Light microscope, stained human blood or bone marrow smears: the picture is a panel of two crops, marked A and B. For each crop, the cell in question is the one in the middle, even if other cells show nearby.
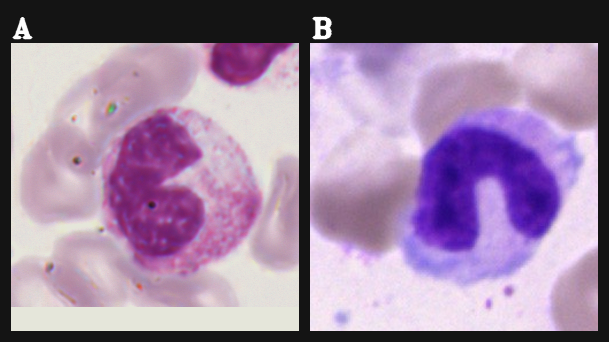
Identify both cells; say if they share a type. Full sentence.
Yes, both the first crop and the second crop show band neutrophils.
